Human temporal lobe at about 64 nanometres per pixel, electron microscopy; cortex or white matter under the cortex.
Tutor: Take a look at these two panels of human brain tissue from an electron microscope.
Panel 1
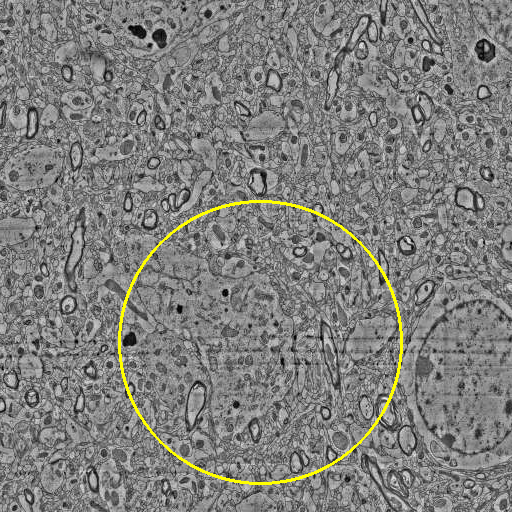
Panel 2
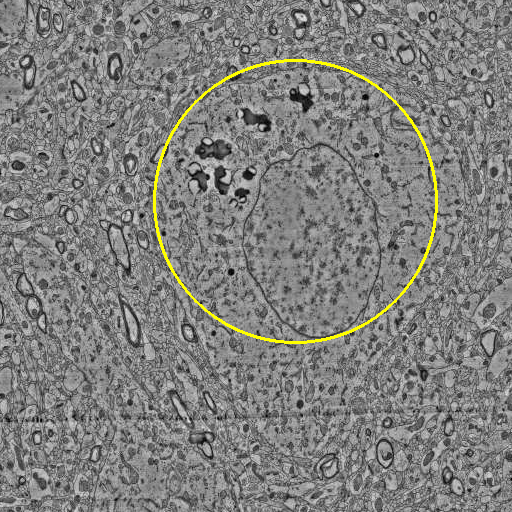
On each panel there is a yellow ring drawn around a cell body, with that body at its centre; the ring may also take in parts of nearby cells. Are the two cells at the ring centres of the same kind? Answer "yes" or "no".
yes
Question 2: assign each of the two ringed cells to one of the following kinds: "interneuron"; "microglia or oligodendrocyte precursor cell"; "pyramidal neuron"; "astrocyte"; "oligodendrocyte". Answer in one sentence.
Each of the two pictures has a pyramidal neuron at the ring centre.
